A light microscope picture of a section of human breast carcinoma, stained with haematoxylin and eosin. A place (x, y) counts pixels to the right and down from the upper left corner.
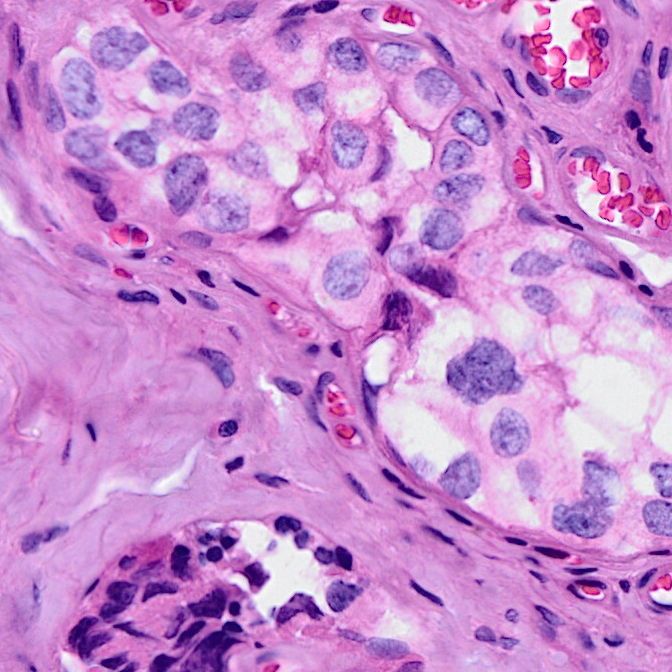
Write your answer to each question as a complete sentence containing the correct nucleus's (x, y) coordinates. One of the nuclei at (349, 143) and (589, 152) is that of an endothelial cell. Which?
Assigned to an endothelial cell is the nucleus located at (589, 152).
